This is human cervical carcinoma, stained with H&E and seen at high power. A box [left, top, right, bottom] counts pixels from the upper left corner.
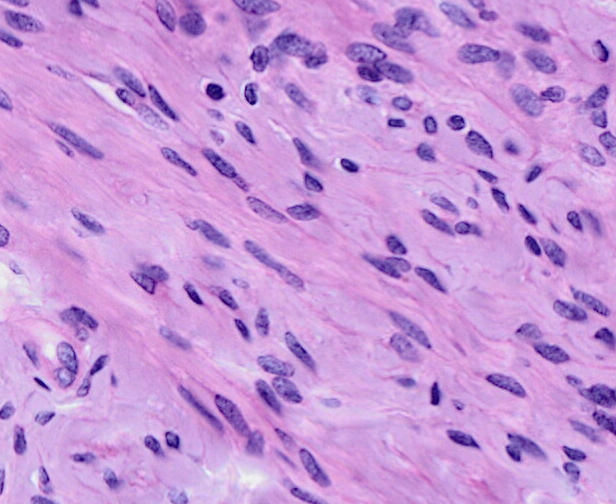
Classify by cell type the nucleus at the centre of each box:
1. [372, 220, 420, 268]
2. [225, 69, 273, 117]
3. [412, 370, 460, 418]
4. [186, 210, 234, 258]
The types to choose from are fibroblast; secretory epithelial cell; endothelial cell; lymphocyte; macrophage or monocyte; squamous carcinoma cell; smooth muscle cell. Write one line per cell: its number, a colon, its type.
1: fibroblast
2: lymphocyte
3: fibroblast
4: fibroblast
